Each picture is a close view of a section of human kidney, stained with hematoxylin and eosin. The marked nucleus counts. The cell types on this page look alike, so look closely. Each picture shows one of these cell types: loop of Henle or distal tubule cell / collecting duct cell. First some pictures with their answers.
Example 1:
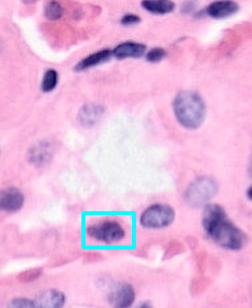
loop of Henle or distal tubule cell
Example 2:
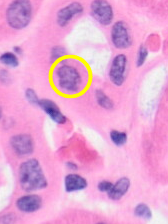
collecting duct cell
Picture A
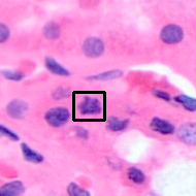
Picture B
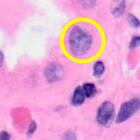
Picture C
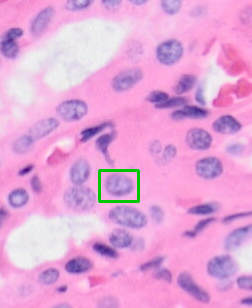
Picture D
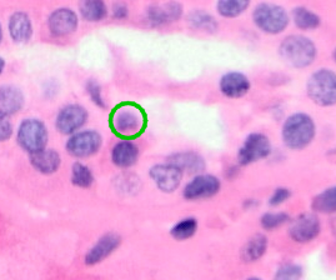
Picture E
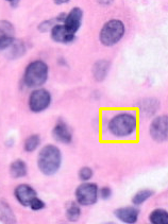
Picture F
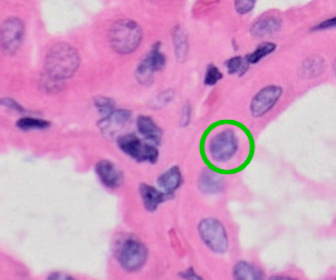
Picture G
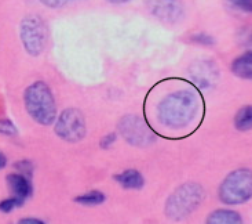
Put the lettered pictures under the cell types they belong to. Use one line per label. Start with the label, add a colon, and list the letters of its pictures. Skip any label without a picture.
loop of Henle or distal tubule cell: A, B, F
collecting duct cell: C, D, E, G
